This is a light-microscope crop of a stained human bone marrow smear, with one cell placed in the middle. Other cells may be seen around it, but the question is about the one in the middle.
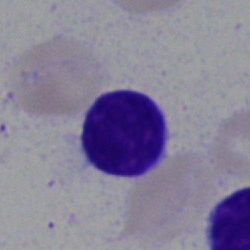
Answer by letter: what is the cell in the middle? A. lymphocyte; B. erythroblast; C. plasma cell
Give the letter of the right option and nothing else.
A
